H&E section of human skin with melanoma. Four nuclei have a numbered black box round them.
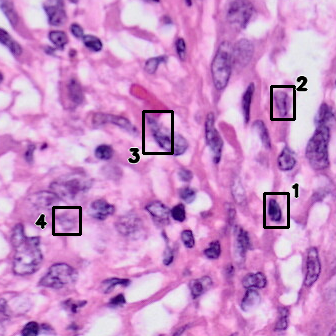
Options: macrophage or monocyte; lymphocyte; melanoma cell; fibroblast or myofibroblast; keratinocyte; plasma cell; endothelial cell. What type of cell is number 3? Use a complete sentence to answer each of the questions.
The correct label for cell 3 is an endothelial cell.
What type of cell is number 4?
The marked cell with the number 4 is recognised as a melanoma cell.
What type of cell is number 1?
The mark numbered 1 indicates the nucleus of a lymphocyte.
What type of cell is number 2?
The expected answer is that cell 2 is a melanoma cell.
